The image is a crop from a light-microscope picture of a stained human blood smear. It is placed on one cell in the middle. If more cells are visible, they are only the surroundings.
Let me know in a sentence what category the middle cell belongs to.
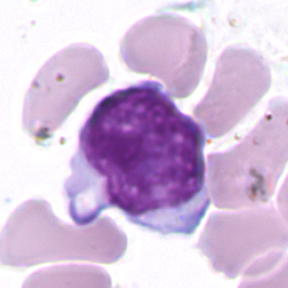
For this crop, the central cell is a plasma cell.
